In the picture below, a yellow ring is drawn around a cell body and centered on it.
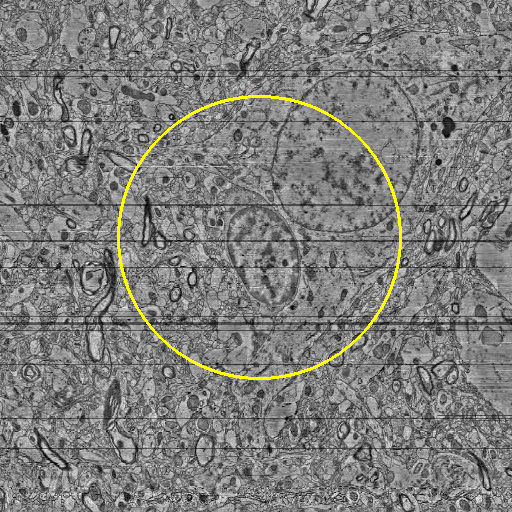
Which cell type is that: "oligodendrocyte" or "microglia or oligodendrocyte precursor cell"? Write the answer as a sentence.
The cell centered in the ring is an oligodendrocyte.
